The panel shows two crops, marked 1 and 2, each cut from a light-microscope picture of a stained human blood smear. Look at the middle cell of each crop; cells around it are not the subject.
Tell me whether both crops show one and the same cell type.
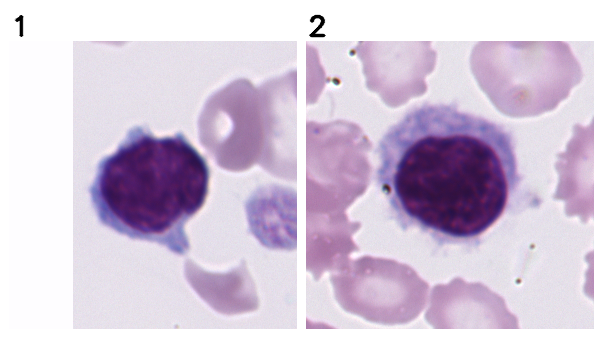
no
